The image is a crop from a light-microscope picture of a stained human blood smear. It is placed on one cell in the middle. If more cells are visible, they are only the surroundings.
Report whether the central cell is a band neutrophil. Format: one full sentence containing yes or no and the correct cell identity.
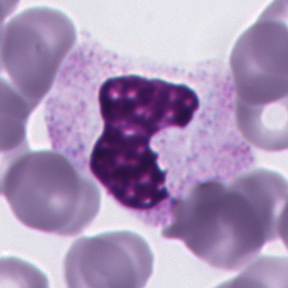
Yes, what sits in the centre of the crop is a band neutrophil.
